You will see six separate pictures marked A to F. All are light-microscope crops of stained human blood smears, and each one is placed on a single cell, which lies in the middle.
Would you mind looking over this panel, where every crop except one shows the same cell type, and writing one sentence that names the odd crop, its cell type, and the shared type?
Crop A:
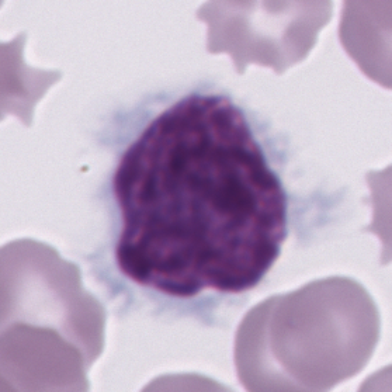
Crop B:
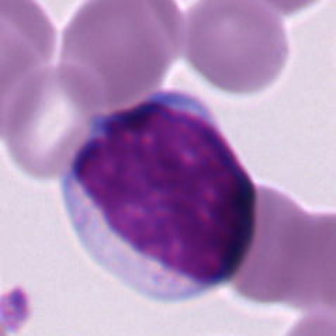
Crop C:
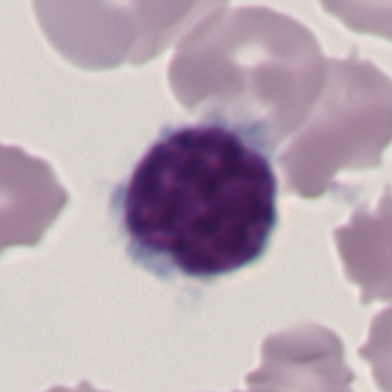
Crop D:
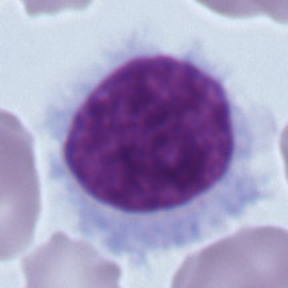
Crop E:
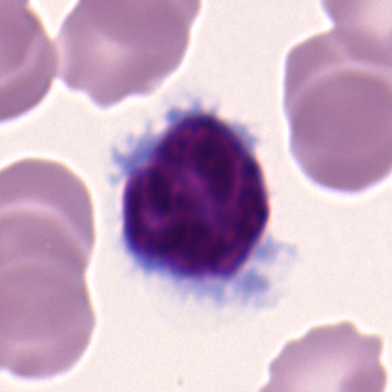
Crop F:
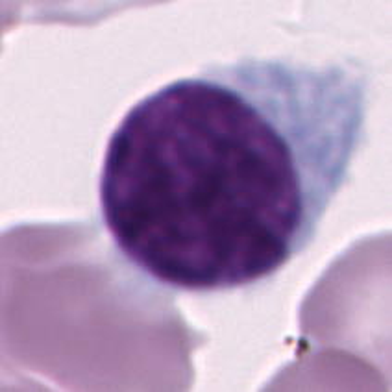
The pattern of hairy cells across the crops is broken only by crop B, which shows a large granular lymphocyte.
